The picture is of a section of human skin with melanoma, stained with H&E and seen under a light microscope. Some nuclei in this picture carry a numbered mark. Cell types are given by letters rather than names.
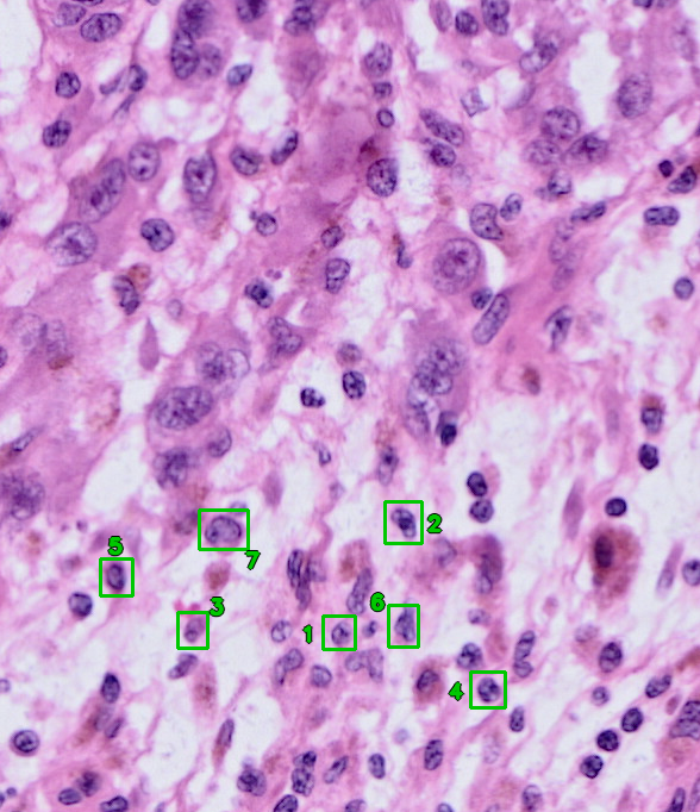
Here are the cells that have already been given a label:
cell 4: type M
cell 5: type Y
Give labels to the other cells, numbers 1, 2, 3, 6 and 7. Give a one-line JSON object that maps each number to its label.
{"1": "type M", "2": "type M", "3": "type Y", "6": "type M", "7": "type Y"}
